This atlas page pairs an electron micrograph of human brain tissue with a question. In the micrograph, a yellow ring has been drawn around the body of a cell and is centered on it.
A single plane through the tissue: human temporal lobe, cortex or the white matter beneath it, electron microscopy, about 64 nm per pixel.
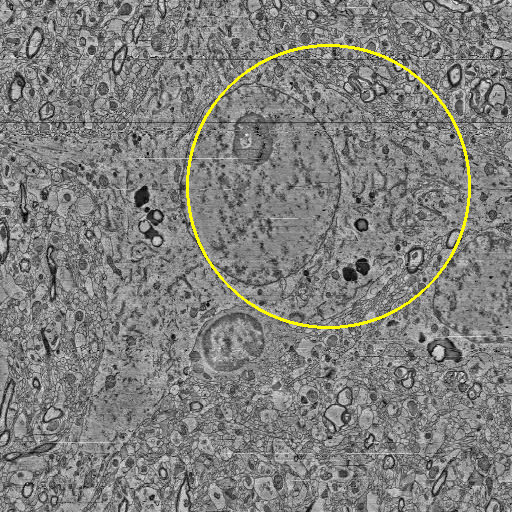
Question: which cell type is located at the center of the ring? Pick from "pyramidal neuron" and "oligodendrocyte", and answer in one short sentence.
Located at the center of the ring is a pyramidal neuron.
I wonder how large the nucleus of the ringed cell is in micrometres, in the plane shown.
The nucleus has a long axis of about 13 micrometres and a short axis of about 11 micrometres in this plane.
